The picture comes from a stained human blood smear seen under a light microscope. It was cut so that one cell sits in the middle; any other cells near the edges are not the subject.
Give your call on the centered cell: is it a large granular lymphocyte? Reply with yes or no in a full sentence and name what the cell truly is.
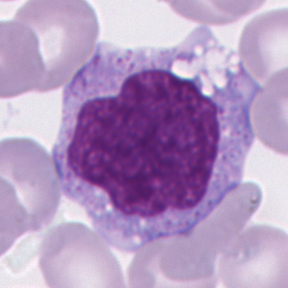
No, the centre of the crop is taken up by a monocyte, not a large granular lymphocyte.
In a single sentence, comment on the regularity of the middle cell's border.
It is the contour of the cell that is irregular, being ragged or projecting outward.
